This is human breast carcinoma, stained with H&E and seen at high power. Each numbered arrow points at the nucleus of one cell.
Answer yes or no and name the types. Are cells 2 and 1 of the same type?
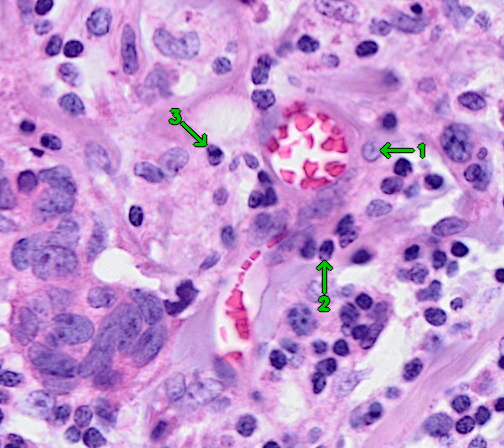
No, cell 2 is identified as a lymphocyte, and cell 1 is identified as an endothelial cell.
